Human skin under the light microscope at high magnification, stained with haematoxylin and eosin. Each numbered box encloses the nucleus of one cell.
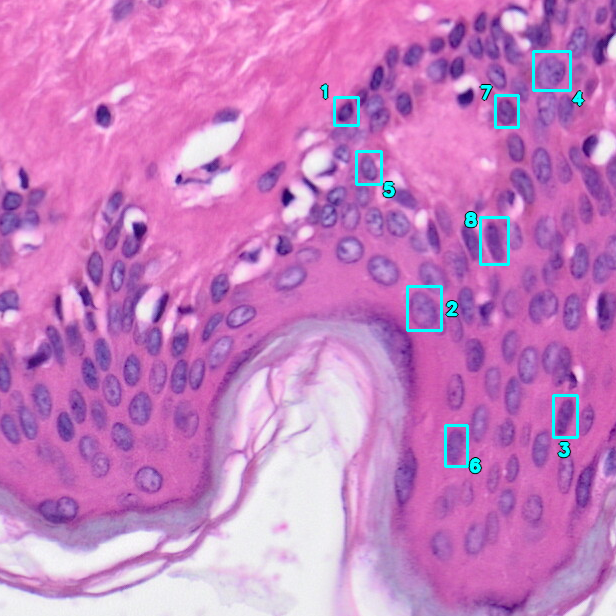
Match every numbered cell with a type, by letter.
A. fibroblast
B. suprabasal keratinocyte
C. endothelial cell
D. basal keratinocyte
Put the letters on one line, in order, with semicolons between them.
D; B; B; D; D; B; D; D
